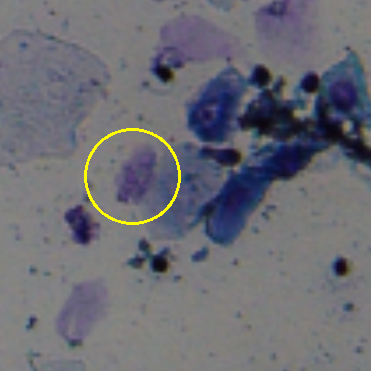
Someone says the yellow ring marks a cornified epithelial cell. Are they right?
They are right: it is a cornified epithelial cell.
